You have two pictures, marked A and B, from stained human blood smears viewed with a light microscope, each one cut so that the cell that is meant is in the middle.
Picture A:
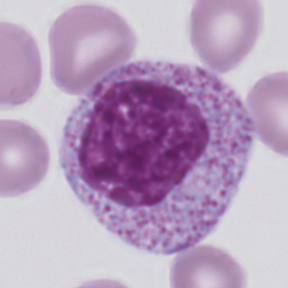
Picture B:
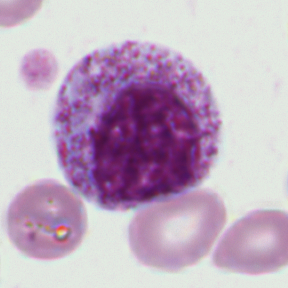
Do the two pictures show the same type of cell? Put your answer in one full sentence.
Yes, both cells are myelocytes.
